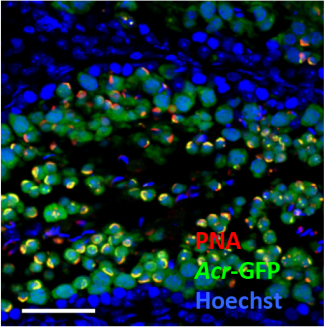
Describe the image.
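Smaller blue nuclei without green lie scattered between the bands of green cells and around them. The green cells form broad, curving streams, with darker gaps between the clusters.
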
